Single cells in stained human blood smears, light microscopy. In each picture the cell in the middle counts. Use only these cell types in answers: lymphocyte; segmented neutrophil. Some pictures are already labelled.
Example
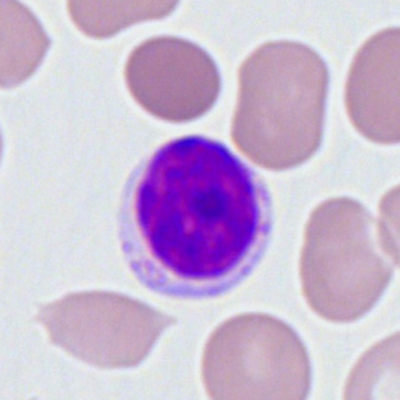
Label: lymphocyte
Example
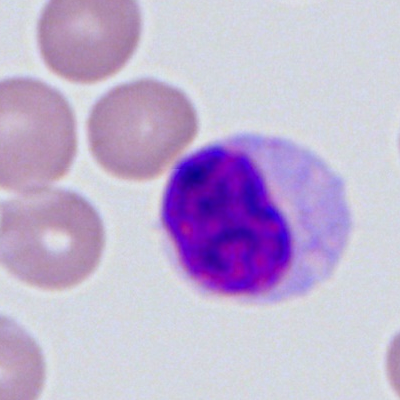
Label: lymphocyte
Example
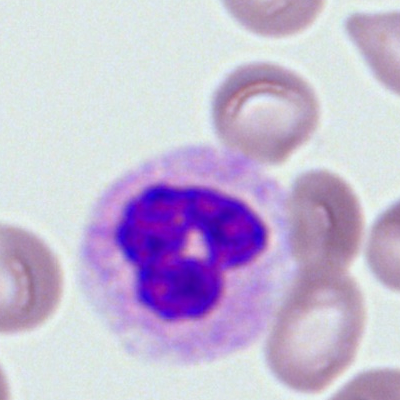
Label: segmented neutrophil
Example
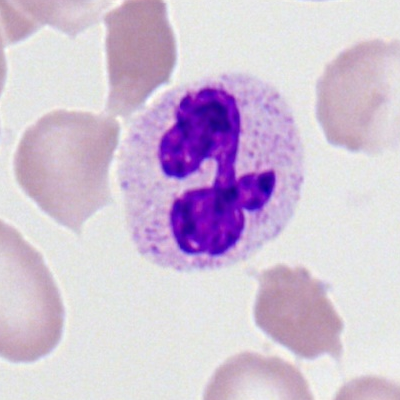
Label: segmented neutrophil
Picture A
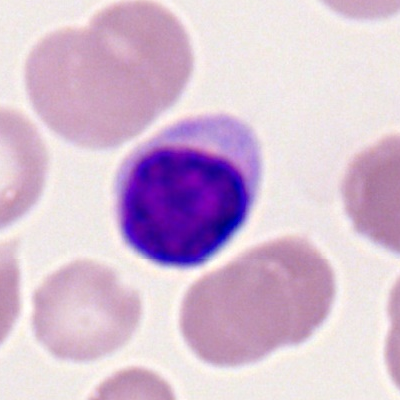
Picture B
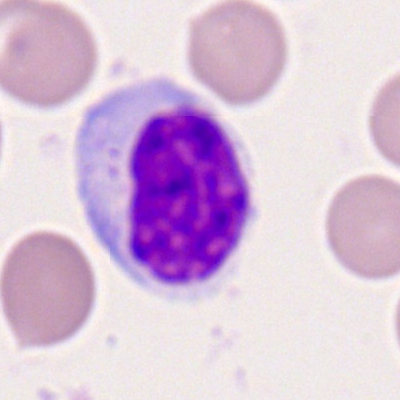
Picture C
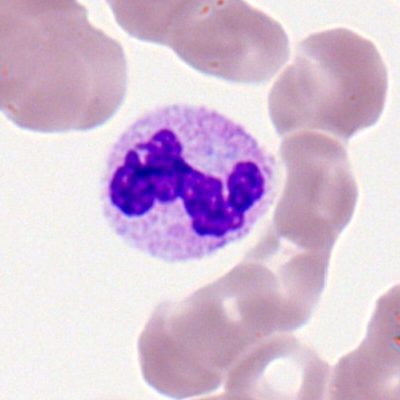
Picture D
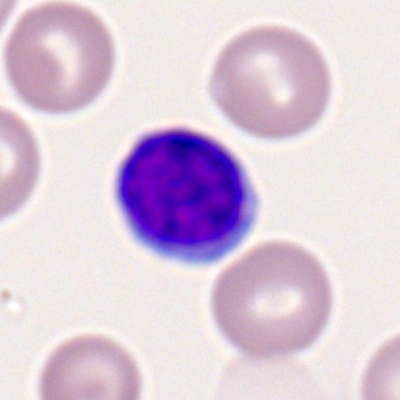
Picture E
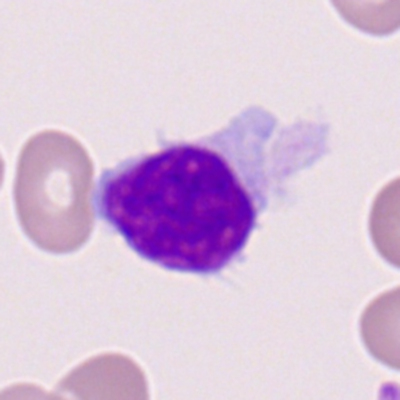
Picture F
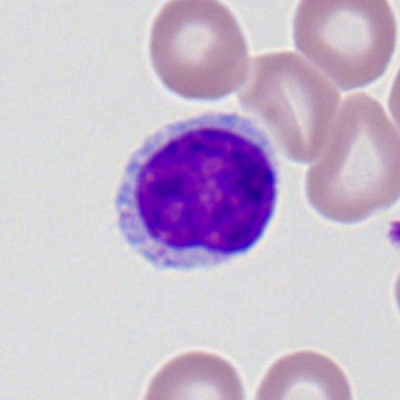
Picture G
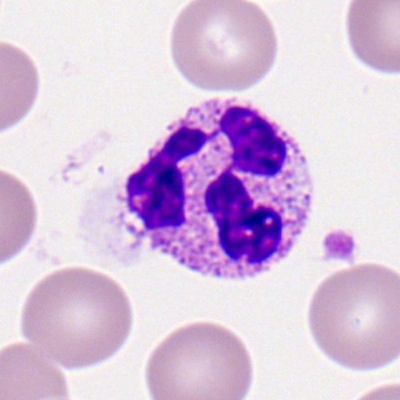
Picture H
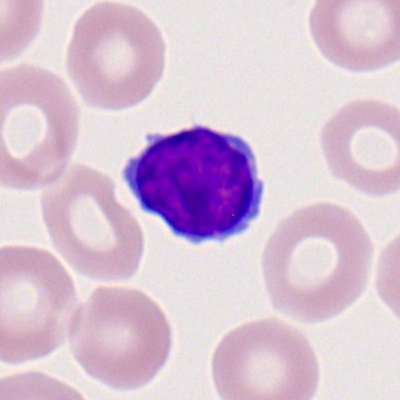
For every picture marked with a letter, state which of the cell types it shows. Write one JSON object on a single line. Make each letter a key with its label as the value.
{"A": "lymphocyte", "B": "lymphocyte", "C": "segmented neutrophil", "D": "lymphocyte", "E": "lymphocyte", "F": "lymphocyte", "G": "segmented neutrophil", "H": "lymphocyte"}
